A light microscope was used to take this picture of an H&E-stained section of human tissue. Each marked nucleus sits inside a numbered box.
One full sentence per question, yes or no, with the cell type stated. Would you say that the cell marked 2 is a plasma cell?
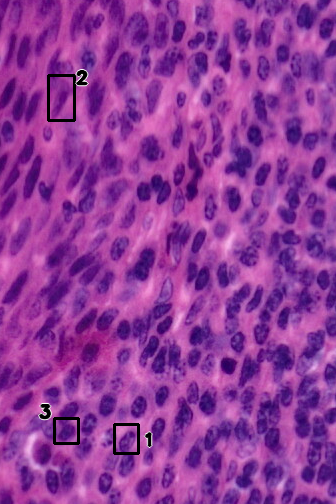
No, the cell identified by number 2 is a squamous epithelial cell, not a plasma cell.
